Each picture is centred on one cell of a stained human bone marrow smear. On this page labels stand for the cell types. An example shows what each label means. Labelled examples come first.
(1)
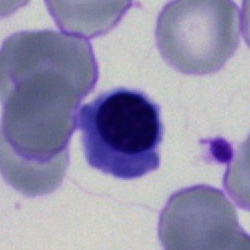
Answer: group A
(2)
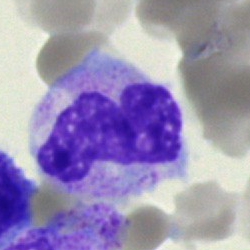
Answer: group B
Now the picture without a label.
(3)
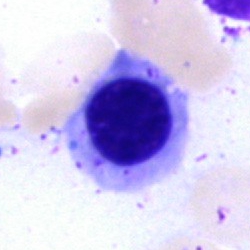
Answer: group A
